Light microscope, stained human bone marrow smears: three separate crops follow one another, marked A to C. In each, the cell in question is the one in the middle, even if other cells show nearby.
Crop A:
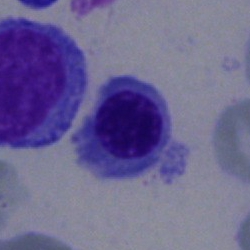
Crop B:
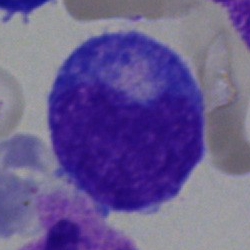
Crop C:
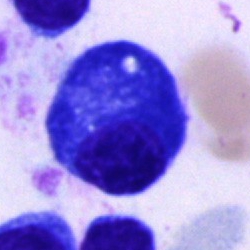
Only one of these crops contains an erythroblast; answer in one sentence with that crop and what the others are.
Crop A shows an erythroblast, while in contrast crop B is a promyelocyte and crop C is a plasma cell.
